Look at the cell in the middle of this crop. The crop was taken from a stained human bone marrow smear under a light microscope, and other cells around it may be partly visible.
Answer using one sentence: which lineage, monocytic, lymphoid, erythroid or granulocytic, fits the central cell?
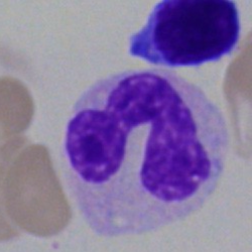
The central cell is regarded as belonging to the granulocytic lineage.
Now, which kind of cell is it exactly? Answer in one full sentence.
The cell at the centre of the field is a band neutrophil.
